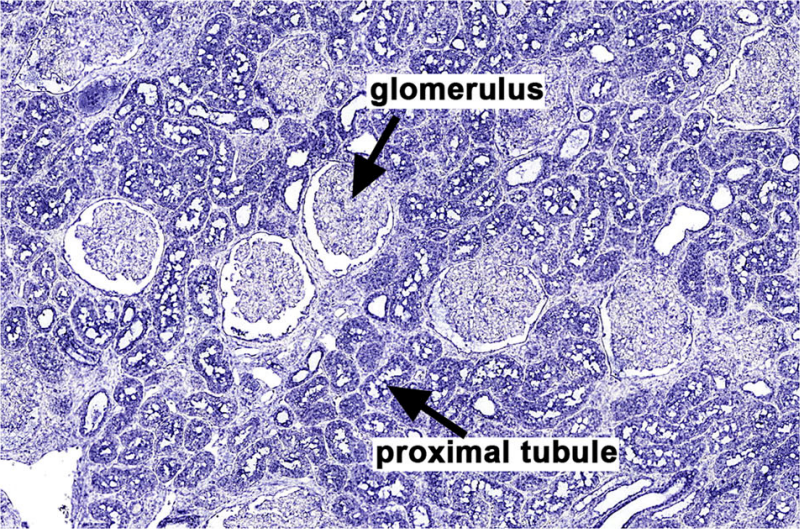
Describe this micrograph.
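The tubules, mostly cut in cross section, are lined by darkly purple-stained cuboidal epithelium around small, irregular lumina. Thin strands of pale interstitium separate the tubules, and a few larger open lumina lie among them.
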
